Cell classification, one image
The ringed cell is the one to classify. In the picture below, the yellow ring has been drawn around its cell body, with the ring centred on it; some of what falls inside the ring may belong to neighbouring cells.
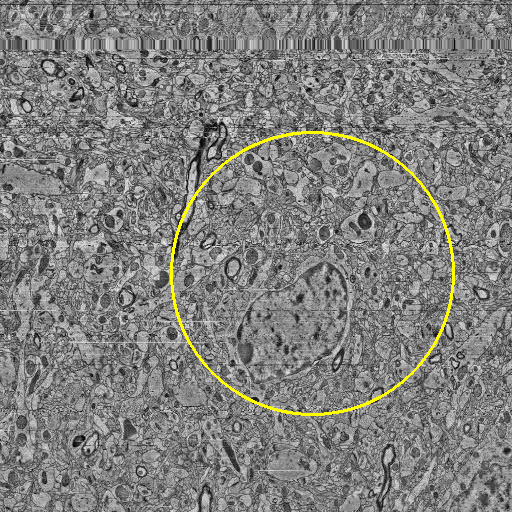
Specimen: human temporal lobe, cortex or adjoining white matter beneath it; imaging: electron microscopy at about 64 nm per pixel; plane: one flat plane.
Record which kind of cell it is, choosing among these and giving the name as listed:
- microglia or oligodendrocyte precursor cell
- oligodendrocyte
microglia or oligodendrocyte precursor cell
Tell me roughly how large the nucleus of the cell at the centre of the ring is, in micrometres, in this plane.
The ringed cell's nucleus measures approximately 9 by 6 micrometres in this plane.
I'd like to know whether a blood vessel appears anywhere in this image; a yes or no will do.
No, none shows.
